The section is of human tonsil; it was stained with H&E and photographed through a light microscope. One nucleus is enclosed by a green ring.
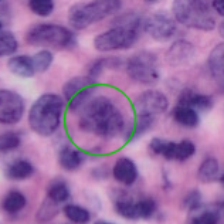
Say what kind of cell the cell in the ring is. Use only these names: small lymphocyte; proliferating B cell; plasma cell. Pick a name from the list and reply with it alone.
proliferating B cell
